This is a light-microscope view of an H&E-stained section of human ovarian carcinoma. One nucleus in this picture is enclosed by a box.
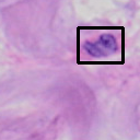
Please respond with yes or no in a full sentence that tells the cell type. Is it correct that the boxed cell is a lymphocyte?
No, scored properly, the boxed cell is a macrophage or monocyte rather than a lymphocyte.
